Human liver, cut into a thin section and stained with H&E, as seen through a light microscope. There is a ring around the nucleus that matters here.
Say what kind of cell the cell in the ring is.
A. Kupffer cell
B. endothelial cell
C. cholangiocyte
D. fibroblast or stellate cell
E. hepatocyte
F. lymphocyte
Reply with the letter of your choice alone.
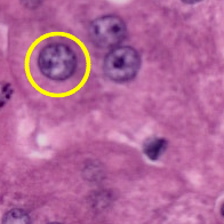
E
